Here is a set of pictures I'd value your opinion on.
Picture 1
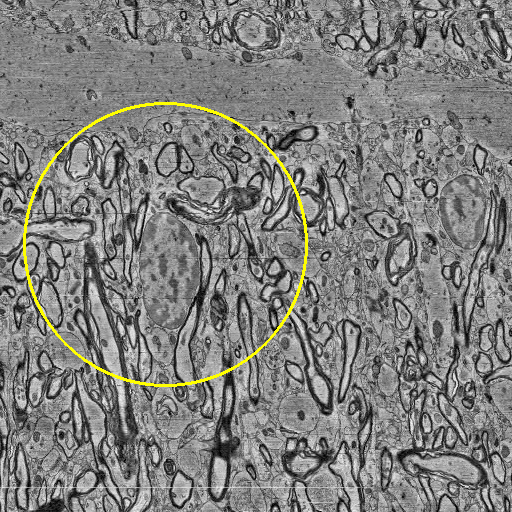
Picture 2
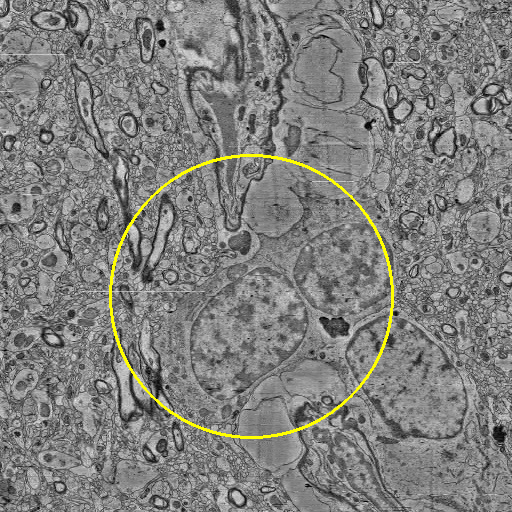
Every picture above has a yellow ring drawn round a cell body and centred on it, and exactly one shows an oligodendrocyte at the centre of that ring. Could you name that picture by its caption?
Picture 2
